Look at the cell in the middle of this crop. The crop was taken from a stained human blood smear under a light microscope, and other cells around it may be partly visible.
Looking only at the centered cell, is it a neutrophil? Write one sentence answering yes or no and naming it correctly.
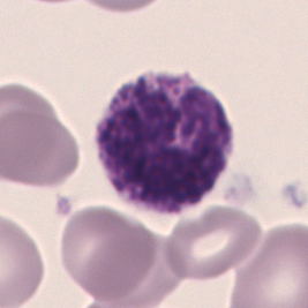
No, the central cell is not a neutrophil; it is a basophil.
